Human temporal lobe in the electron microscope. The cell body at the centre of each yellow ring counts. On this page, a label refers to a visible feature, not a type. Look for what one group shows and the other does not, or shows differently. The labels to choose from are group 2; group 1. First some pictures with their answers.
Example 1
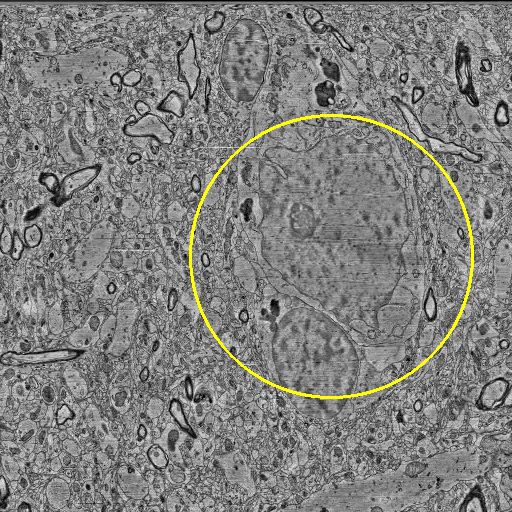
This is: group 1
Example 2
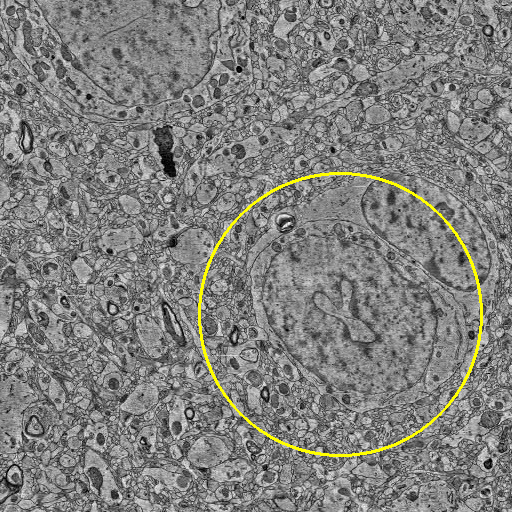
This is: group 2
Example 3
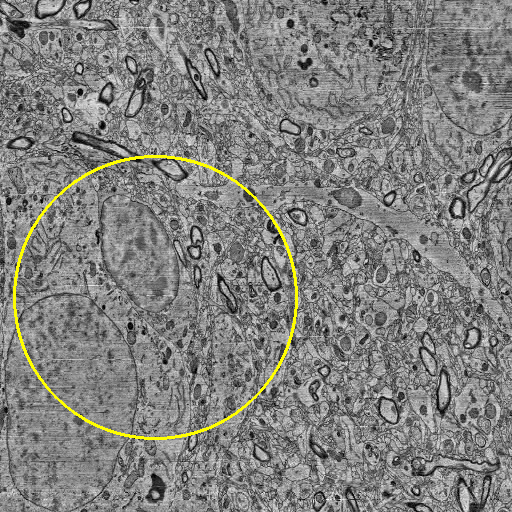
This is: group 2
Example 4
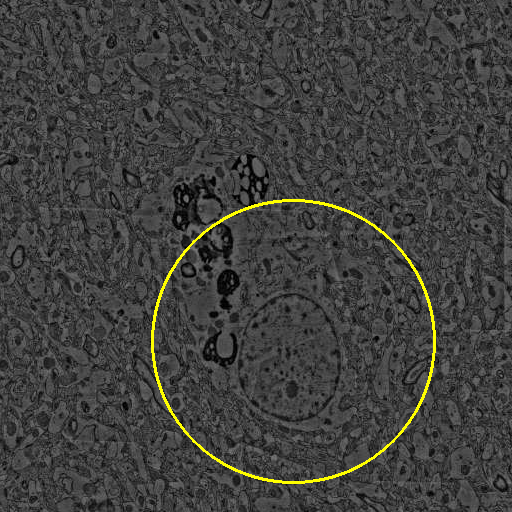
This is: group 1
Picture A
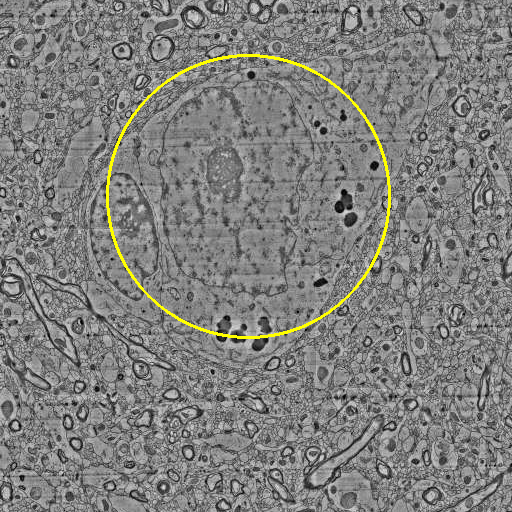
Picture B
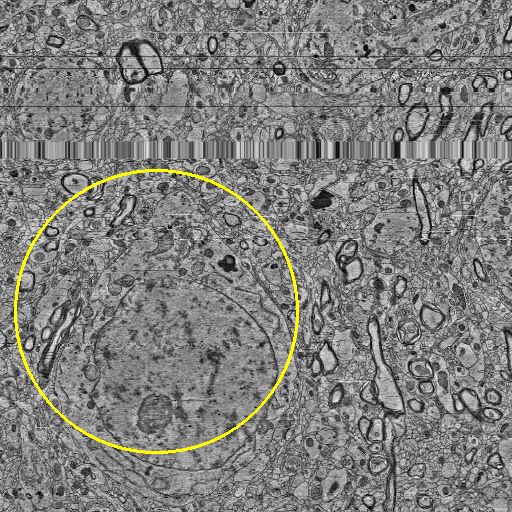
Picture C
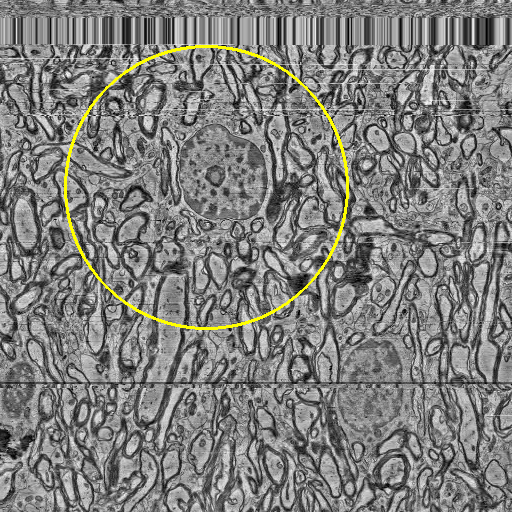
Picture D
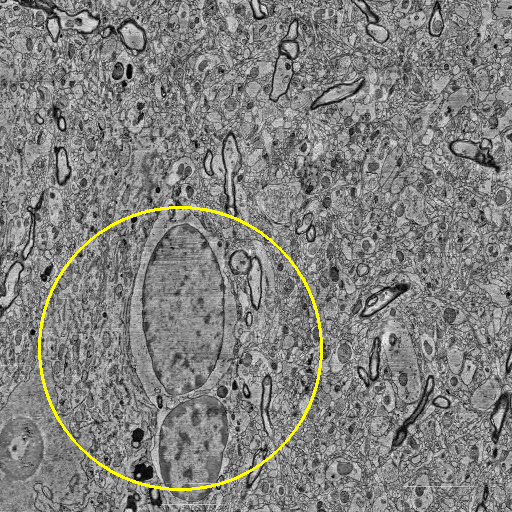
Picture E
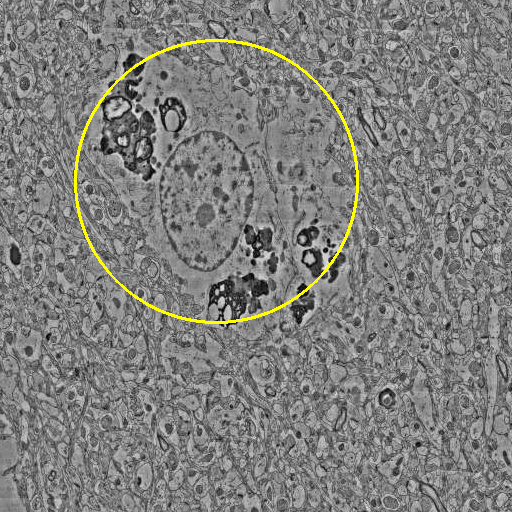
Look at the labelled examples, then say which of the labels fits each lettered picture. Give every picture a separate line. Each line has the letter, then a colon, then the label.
A: group 1
B: group 1
C: group 1
D: group 2
E: group 1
